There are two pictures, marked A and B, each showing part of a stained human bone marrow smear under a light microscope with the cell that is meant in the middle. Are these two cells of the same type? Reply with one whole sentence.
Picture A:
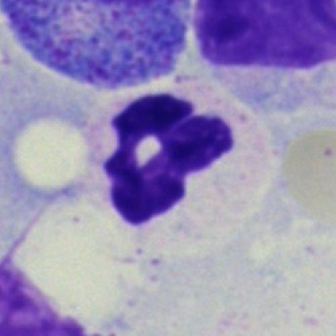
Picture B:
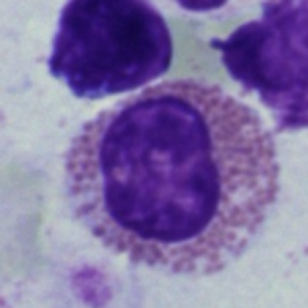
No; the cell in picture A is a segmented neutrophil, while the one in picture B is an eosinophil.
